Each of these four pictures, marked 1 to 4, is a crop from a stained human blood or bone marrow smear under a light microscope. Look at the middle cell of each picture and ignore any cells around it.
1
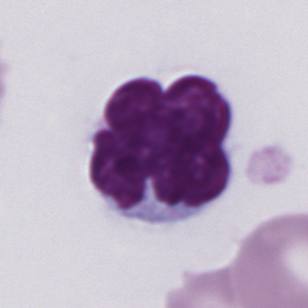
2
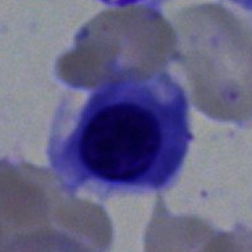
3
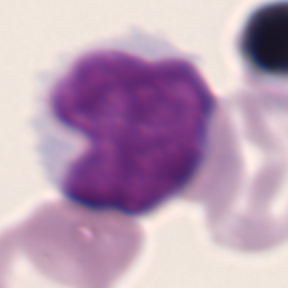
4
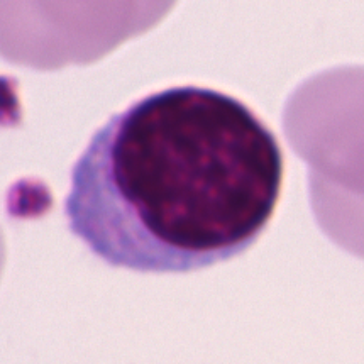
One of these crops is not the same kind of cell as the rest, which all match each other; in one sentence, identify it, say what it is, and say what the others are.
Crop 2 alone is an erythroblast, and the other crops are all lymphocytes.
